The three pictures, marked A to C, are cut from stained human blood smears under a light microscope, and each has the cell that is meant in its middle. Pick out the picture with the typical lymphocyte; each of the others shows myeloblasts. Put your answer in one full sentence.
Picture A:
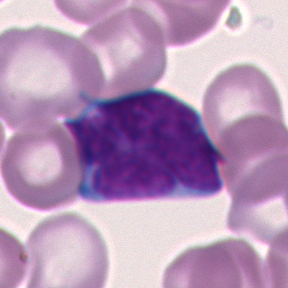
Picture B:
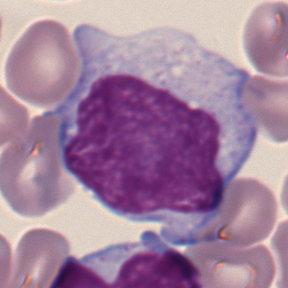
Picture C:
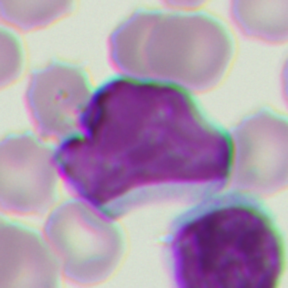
The typical lymphocyte is the one in picture C.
